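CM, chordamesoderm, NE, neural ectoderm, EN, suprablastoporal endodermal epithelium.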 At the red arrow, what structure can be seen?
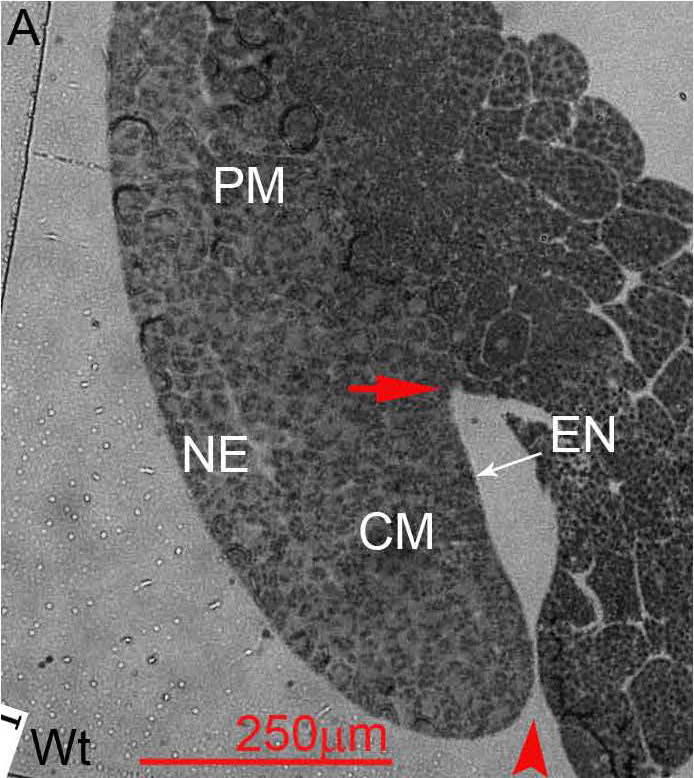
Tip of archenteron.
